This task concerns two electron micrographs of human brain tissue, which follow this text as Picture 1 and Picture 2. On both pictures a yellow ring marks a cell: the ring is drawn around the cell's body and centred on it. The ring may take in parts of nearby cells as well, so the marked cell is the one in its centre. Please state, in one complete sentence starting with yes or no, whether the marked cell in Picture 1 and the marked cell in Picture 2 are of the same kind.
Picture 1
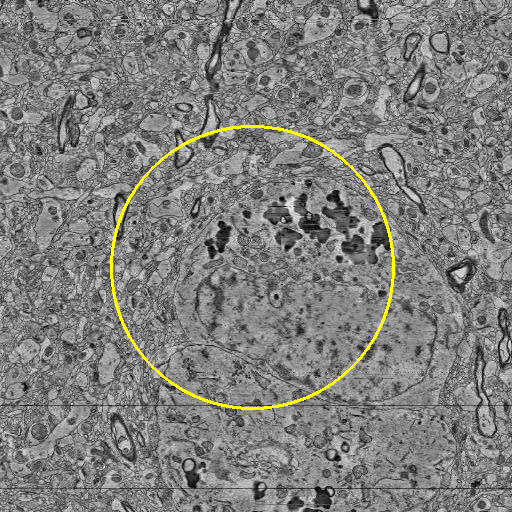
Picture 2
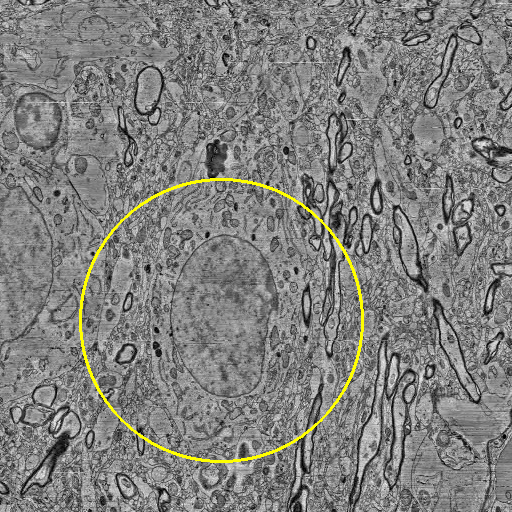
Yes, the marked cells in both pictures are of the same kind.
